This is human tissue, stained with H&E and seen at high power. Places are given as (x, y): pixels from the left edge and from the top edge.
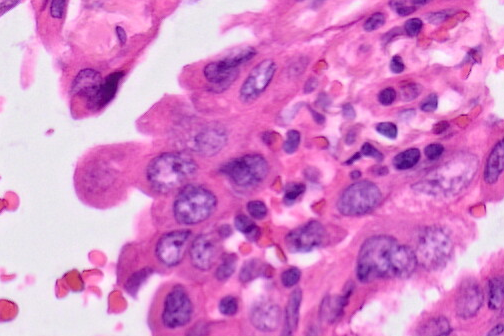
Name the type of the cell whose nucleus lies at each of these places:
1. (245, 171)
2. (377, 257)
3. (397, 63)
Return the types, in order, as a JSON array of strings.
["carcinoma cell", "carcinoma cell", "lymphocyte"]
